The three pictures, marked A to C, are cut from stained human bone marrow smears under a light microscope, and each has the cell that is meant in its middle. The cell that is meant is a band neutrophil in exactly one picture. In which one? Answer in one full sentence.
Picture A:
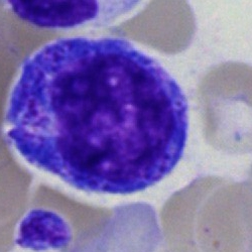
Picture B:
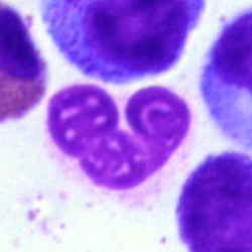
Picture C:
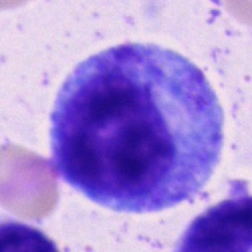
Picture B is the one that shows the band neutrophil.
